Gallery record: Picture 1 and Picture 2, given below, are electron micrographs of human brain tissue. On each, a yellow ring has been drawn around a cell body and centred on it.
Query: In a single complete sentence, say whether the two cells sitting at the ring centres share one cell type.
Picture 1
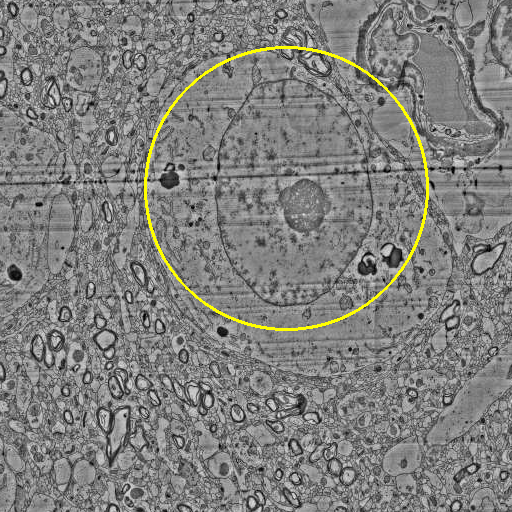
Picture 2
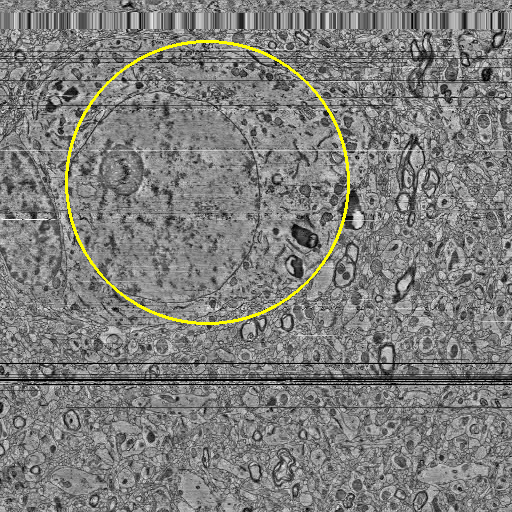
Yes, in both pictures the cell at the ring's centre is of one and the same type.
